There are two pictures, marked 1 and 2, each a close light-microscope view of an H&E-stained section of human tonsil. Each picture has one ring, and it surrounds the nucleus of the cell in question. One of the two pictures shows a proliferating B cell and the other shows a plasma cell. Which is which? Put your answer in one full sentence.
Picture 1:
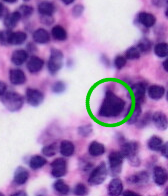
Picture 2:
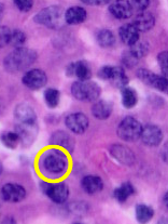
In picture 1 the cell is a proliferating B cell; in picture 2, a plasma cell.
